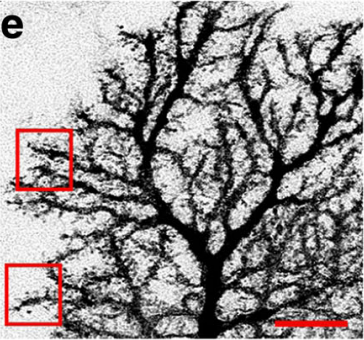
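A richly branched neuron appears dark on a pale background, with a thick trunk below that splits into many progressively thinner dendrites spreading upward and outward. The finest branchlets at the edges carry numerous short, dark protrusions. Two boxed areas at the left margin enclose such spiny terminal branchlets. This is a Purkinje cell dendritic tree bearing spines.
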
